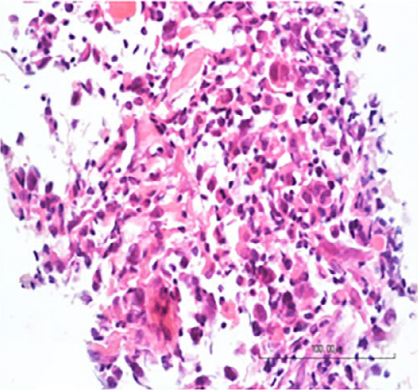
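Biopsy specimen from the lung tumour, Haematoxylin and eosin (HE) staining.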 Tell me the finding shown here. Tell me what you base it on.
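Many nuclei are large relative to the cell. Nuclei stain dark purple. Nuclear size differs markedly from cell to cell.
Conclusion: large, hyperchromatic nuclei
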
